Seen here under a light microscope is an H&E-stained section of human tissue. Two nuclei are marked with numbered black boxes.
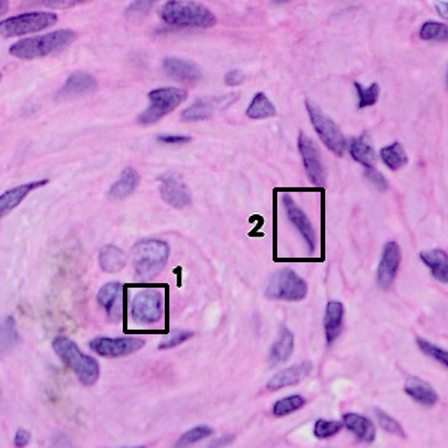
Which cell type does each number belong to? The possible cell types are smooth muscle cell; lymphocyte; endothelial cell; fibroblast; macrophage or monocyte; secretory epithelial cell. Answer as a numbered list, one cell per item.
1. endothelial cell
2. fibroblast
